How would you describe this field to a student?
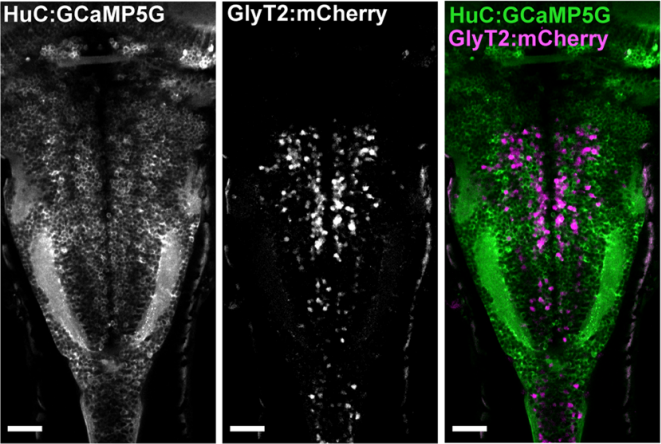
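Larval hindbrain seen from above, a bilaterally symmetric field of densely packed small round neuronal cell bodies that narrows caudally, flanked by brighter, smoother bands of neuropil. The green label fills most somata and the neuropil. A smaller, scattered subset of brighter somata in magenta lies mainly near the midline, in columns on either side.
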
